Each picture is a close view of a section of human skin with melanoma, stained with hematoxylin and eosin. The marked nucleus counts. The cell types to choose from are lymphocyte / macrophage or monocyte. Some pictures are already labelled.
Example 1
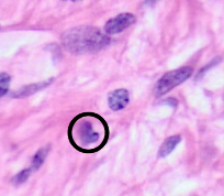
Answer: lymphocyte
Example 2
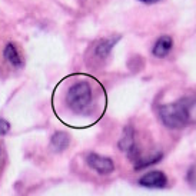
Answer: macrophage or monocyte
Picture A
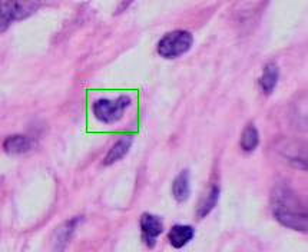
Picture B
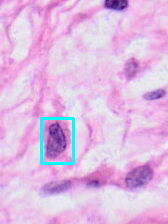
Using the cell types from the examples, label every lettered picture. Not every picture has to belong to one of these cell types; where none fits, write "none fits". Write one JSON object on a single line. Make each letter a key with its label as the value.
{"A": "lymphocyte", "B": "macrophage or monocyte"}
